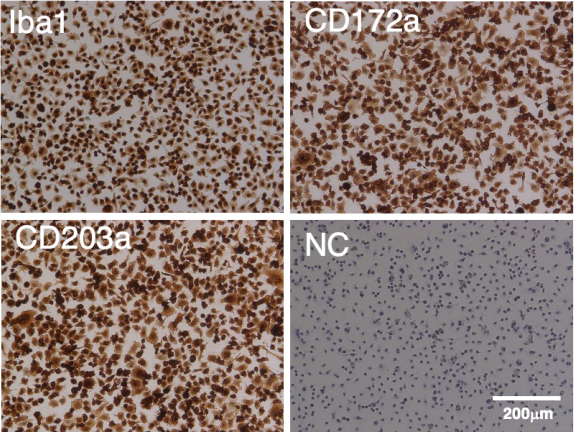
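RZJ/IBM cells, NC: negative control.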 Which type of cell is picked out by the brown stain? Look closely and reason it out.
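Three of the four fields show nearly every cell filled with brown stain. The fourth field shows only pale blue nuclei with no brown stain. The stained cells are scattered, single, rounded to irregular in shape.
Macrophages.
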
